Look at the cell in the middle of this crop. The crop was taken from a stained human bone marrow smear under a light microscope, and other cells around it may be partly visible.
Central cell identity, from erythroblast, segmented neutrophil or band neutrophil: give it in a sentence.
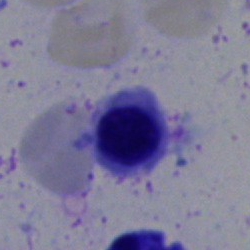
Classification of the middle cell gives an erythroblast.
